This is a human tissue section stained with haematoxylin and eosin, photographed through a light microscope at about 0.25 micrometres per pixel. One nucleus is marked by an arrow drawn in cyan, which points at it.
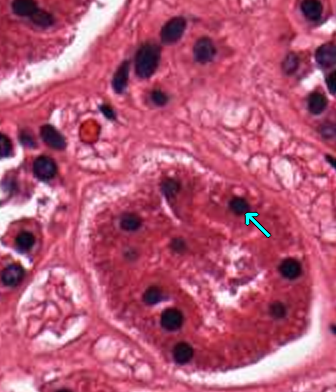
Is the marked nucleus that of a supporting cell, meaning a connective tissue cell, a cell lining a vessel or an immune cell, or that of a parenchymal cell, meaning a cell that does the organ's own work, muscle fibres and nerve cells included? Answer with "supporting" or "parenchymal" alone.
parenchymal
